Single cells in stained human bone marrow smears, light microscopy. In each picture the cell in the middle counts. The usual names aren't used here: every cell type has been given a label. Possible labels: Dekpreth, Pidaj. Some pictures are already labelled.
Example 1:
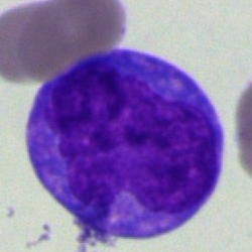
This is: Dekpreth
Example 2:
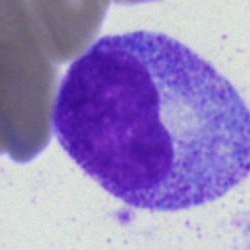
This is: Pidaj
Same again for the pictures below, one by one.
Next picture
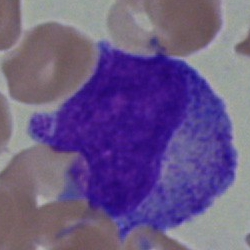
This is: Pidaj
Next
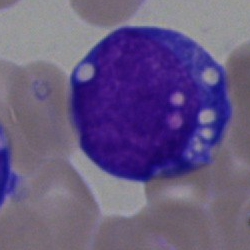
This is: Dekpreth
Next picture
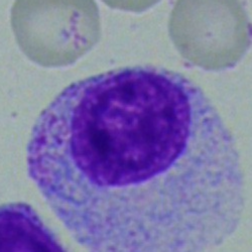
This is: Pidaj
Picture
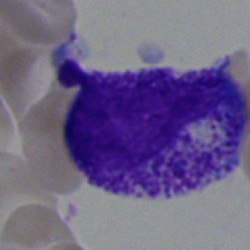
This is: Pidaj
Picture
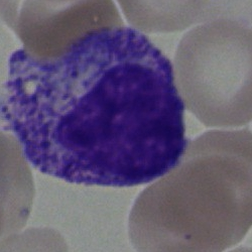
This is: Pidaj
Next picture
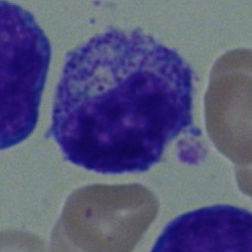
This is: Pidaj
